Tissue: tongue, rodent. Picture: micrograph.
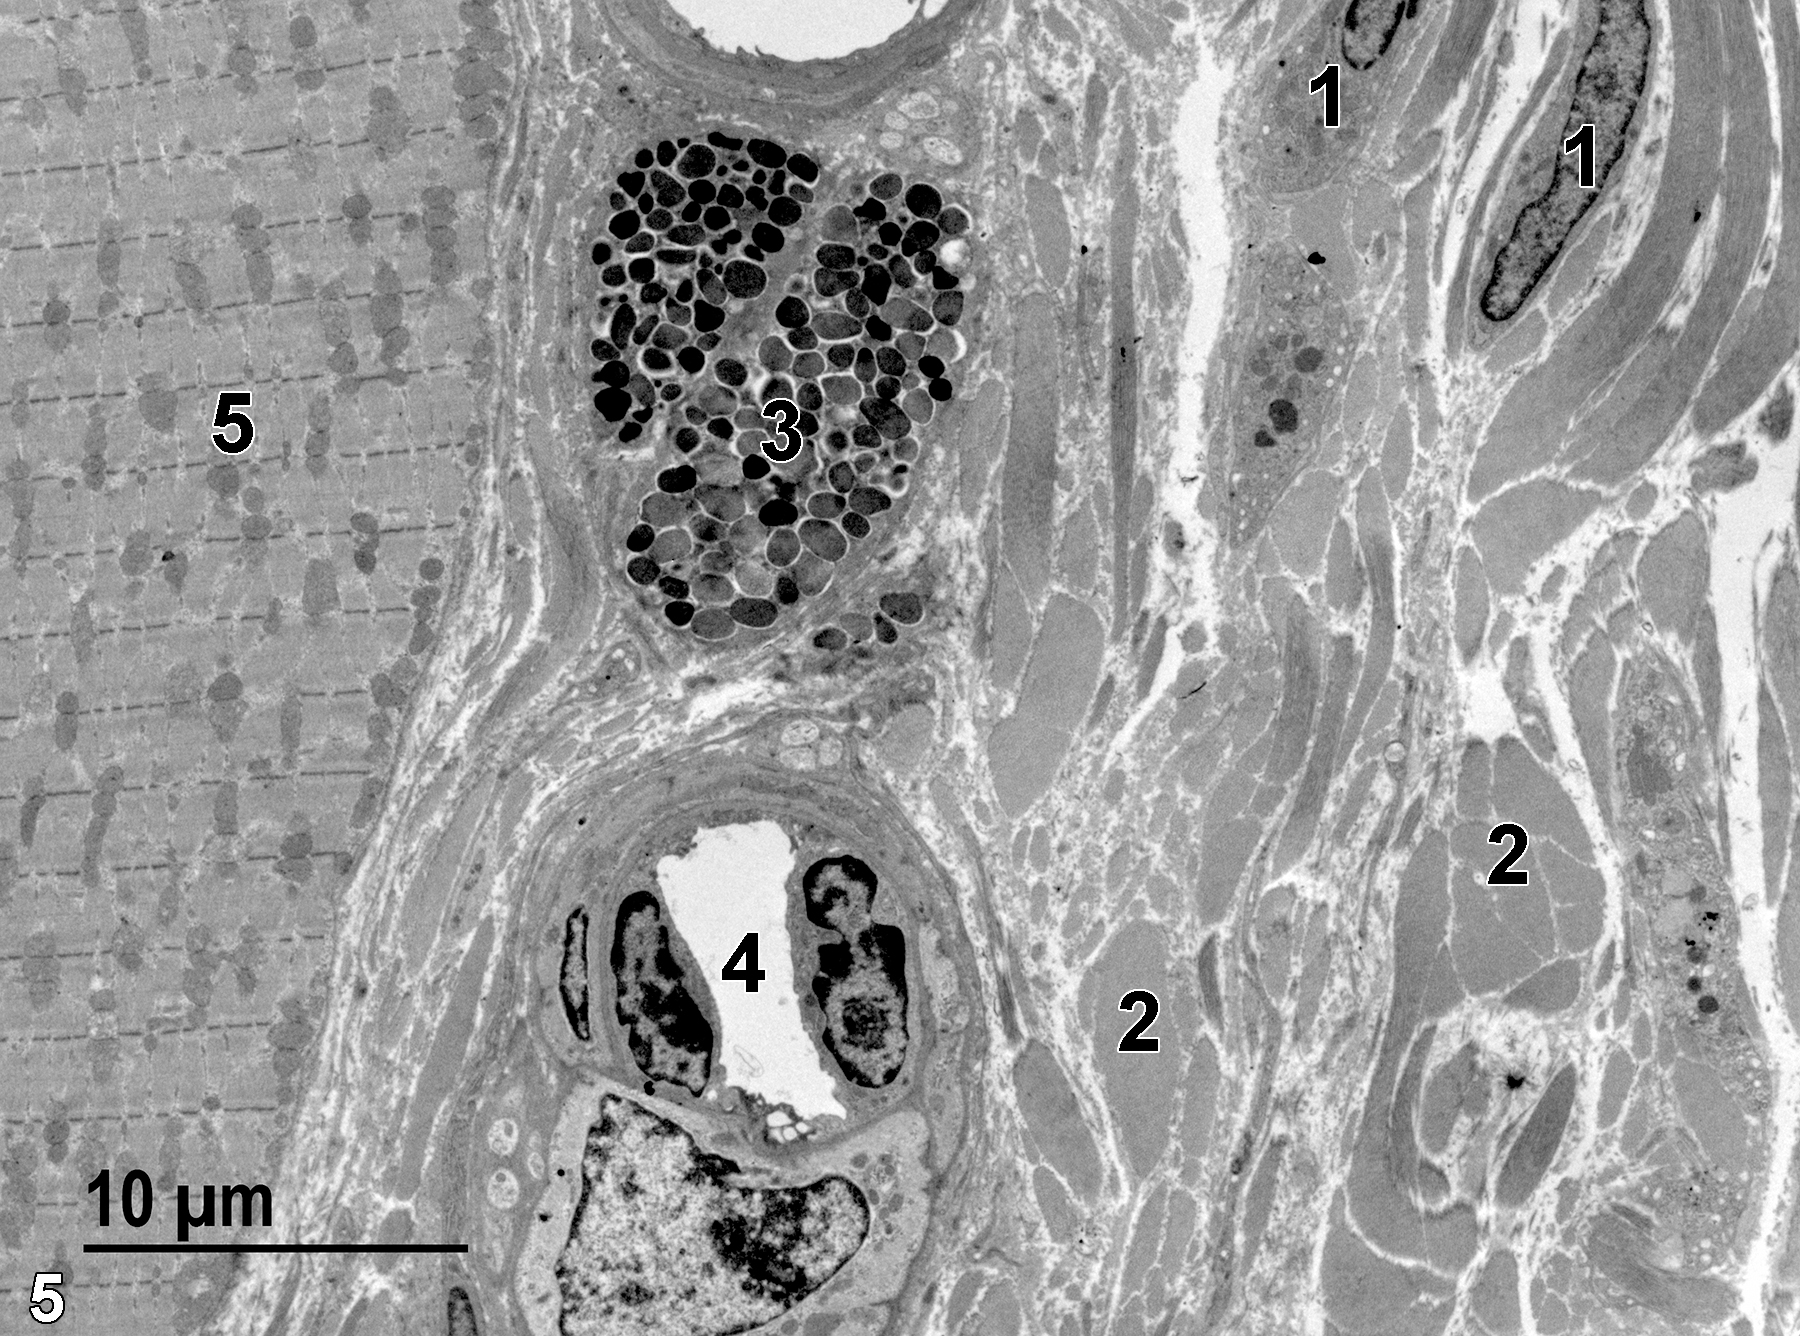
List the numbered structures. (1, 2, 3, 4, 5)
(1) fibroblasts
(2) bundles of collagen fibers
(3) mast cell
(4) capillary
(5) striated muscle cell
